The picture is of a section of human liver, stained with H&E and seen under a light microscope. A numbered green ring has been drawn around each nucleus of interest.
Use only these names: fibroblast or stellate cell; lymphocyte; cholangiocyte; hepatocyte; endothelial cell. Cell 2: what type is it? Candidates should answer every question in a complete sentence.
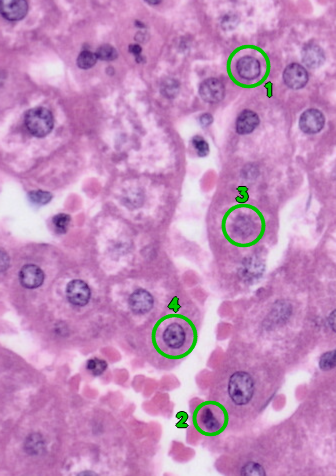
Classified as a fibroblast or stellate cell is the cell with the number 2.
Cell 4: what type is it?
Among the marked cells, number 4 is a hepatocyte.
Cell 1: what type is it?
The cell identified by number 1 is a hepatocyte.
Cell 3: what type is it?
Of the numbered cells, the one labelled 3 is a hepatocyte.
